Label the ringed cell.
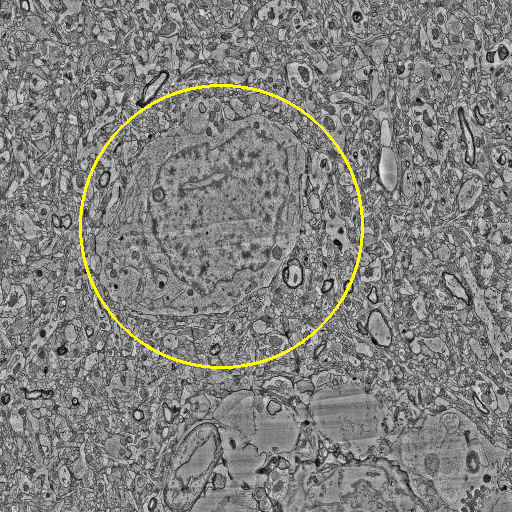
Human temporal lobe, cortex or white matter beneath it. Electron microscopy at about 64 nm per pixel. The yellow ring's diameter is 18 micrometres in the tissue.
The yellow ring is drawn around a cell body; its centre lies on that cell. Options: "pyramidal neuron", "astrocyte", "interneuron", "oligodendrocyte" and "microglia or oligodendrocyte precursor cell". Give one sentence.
The ringed cell is an interneuron.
